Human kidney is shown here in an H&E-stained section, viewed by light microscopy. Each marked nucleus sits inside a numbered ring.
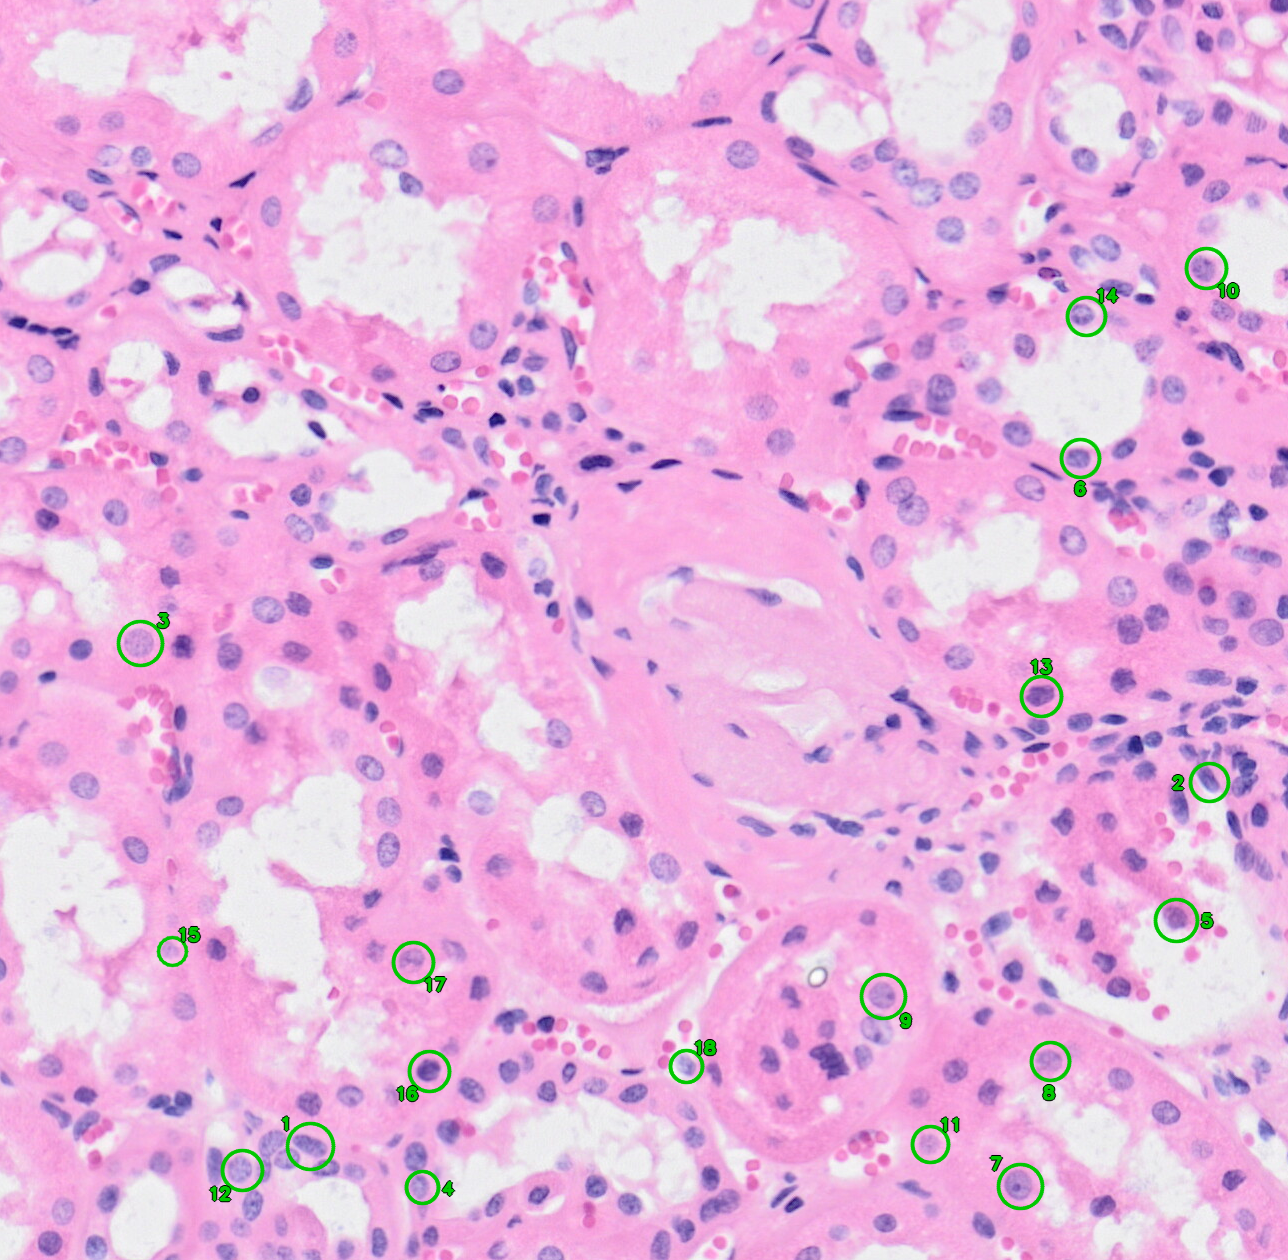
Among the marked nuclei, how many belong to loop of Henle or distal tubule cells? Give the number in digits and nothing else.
3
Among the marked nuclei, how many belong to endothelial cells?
2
